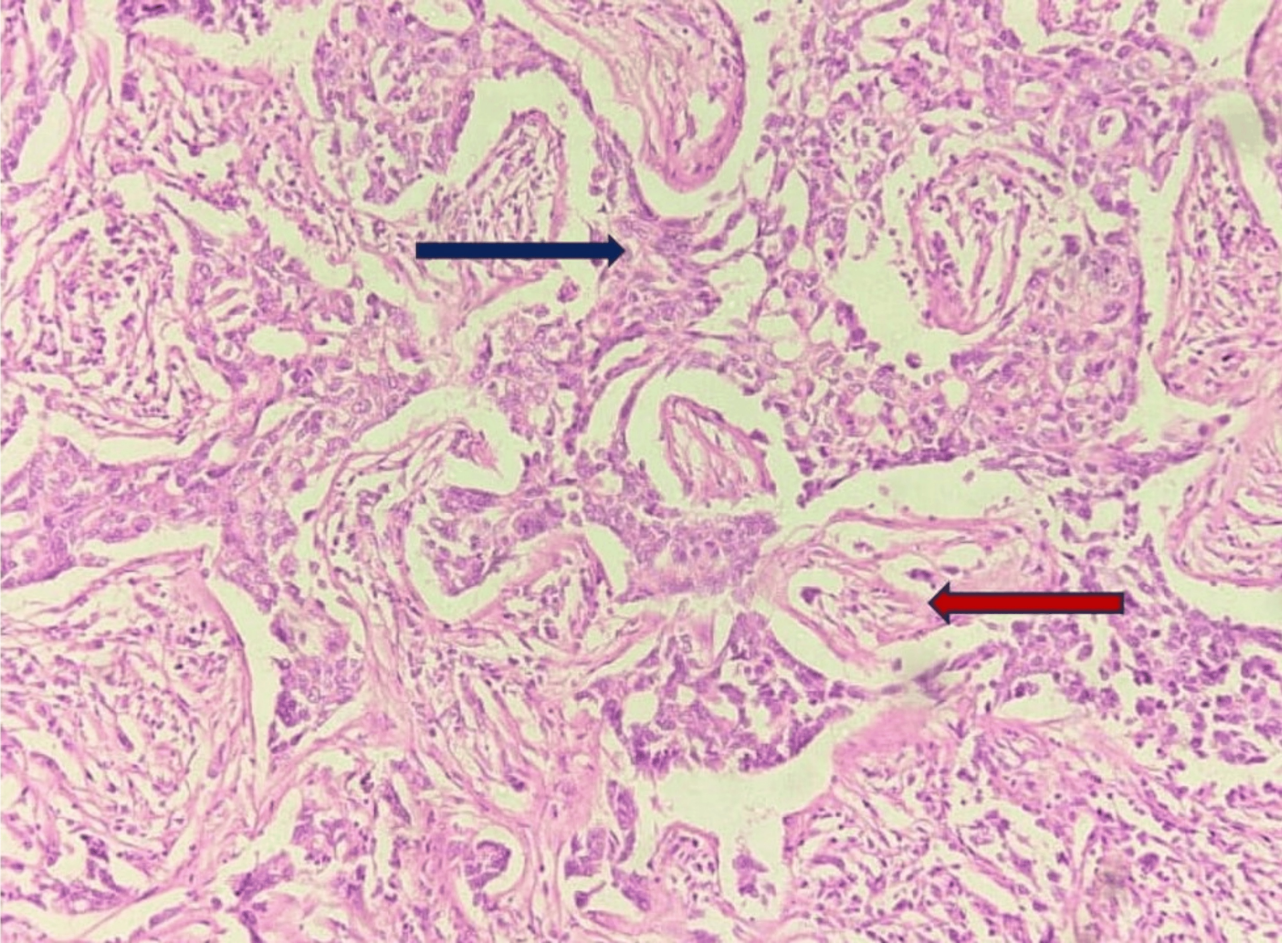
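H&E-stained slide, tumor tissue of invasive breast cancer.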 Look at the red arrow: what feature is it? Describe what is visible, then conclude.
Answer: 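Fibro-collagenous septa. The marked area is pale pink, fibrous tissue with wavy strands. It holds few, thin, elongated nuclei. It is set apart from the crowded purple tumor cells by pale clefts.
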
